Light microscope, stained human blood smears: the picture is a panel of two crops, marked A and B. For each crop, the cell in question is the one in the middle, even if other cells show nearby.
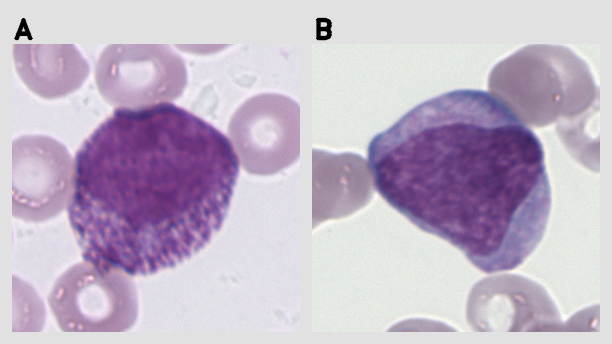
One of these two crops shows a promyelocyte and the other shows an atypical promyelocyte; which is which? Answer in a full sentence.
Crop B is an atypical promyelocyte, while crop A is a promyelocyte.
